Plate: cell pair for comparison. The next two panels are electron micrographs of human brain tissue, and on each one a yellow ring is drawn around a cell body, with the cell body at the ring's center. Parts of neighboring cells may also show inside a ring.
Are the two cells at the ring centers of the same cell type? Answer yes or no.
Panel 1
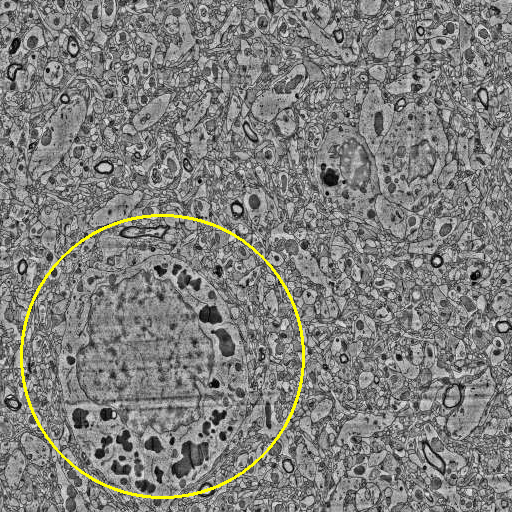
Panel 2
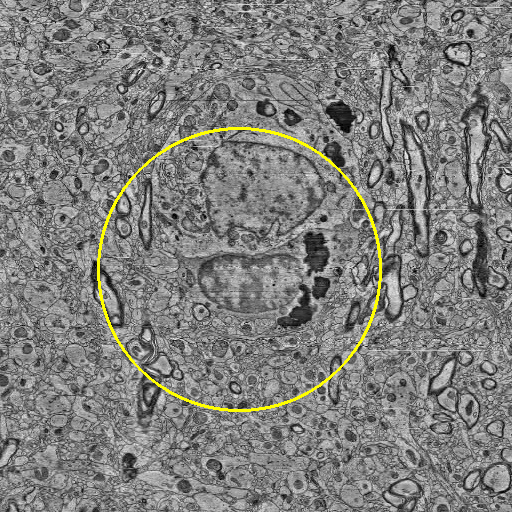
no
